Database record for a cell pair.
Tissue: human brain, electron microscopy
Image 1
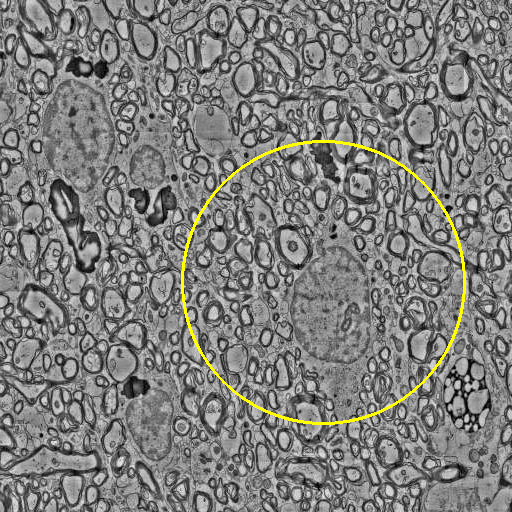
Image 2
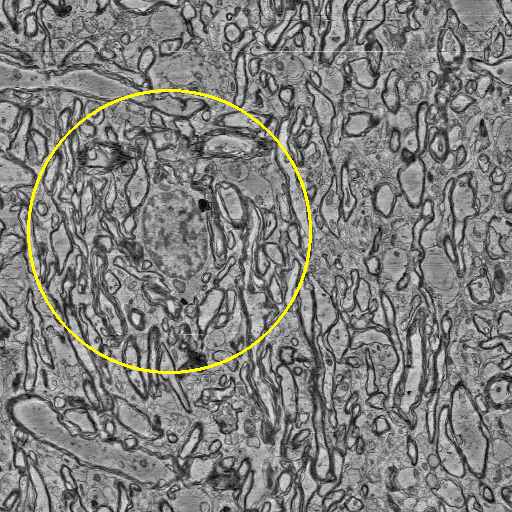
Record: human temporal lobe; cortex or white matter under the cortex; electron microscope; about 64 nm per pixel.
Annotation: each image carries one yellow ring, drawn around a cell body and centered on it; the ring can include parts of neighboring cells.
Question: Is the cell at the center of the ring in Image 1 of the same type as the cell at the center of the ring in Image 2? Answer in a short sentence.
Yes, the cells are of the same type.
